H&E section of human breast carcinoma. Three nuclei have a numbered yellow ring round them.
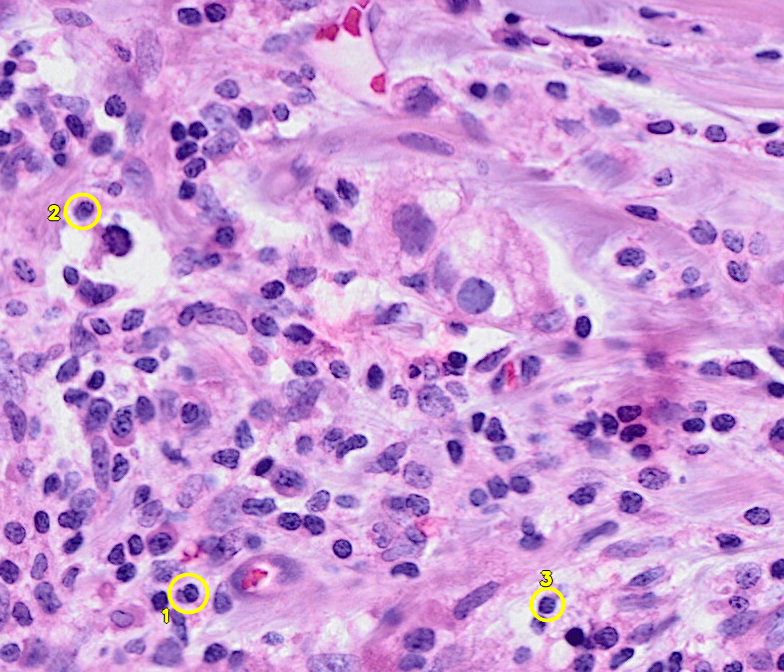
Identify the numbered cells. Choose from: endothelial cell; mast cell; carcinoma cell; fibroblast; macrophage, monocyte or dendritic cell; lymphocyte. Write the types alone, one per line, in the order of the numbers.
lymphocyte
mast cell
lymphocyte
